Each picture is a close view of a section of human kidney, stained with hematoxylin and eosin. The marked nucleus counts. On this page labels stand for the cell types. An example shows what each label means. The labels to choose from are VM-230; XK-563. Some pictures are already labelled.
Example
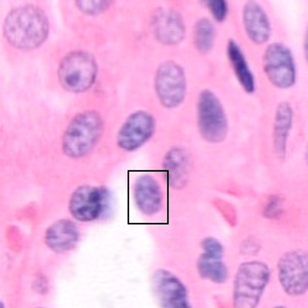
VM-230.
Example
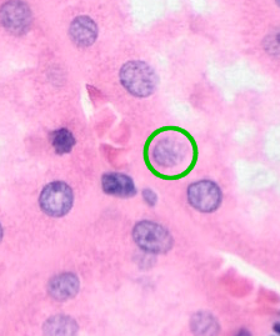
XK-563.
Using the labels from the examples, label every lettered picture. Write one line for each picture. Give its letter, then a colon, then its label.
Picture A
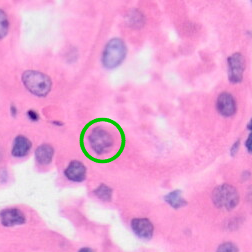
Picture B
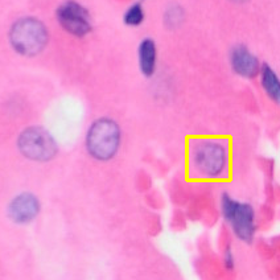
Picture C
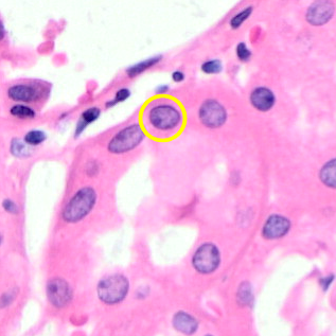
A: XK-563.
B: XK-563.
C: XK-563.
